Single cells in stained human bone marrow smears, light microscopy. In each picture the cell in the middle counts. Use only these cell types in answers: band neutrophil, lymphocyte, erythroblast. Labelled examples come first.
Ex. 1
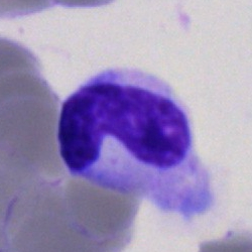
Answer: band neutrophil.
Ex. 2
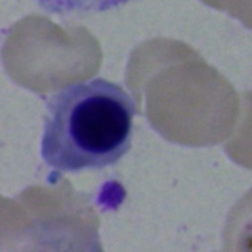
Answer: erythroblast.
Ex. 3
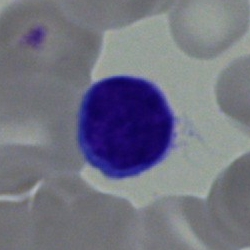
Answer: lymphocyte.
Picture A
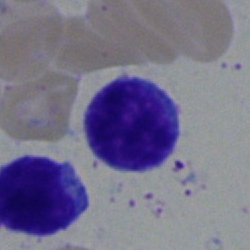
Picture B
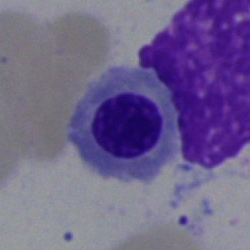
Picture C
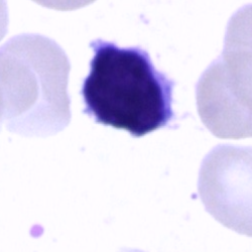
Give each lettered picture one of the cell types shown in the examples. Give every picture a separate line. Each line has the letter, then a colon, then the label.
A: lymphocyte.
B: erythroblast.
C: lymphocyte.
